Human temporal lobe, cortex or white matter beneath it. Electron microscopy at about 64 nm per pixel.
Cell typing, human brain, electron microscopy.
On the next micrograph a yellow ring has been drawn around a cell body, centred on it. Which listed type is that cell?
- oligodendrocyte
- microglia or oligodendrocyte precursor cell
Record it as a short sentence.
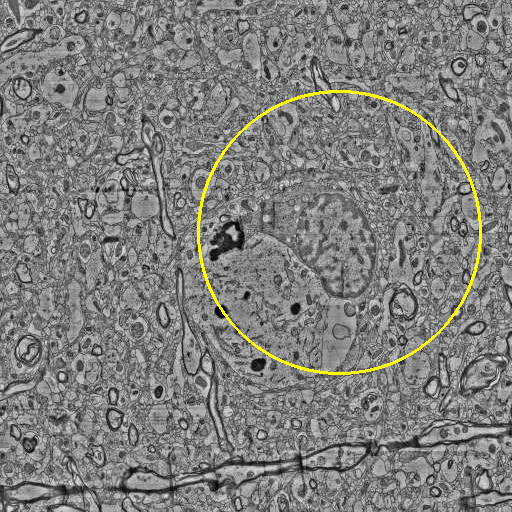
The cell body in the ring's centre belongs to an oligodendrocyte.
